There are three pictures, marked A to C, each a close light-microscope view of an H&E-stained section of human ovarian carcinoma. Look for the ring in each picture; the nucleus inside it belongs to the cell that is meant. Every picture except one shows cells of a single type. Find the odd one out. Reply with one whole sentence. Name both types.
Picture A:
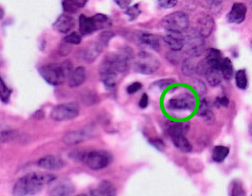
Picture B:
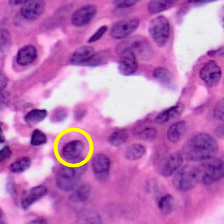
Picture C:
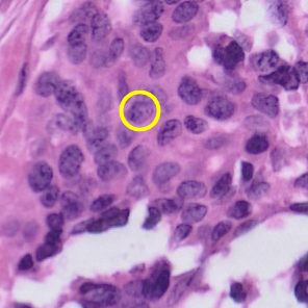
Picture B differs, because its cell is a “macrophage or monocyte” and the rest are carcinoma cells.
